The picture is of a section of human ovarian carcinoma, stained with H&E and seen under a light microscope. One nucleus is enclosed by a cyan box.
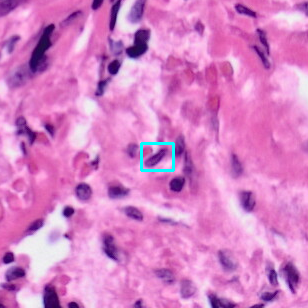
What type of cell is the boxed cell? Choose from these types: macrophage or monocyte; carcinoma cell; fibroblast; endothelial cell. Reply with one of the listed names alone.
fibroblast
